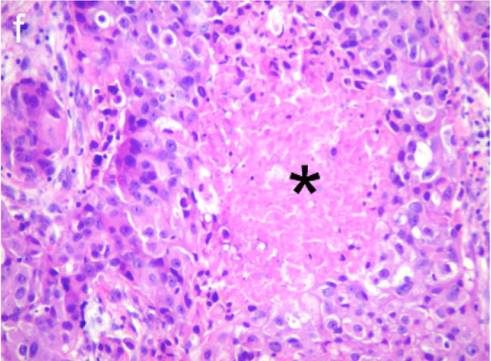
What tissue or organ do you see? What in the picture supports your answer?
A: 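Cells with large nuclei are packed closely across most of the field. So: a highly cellular tumour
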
